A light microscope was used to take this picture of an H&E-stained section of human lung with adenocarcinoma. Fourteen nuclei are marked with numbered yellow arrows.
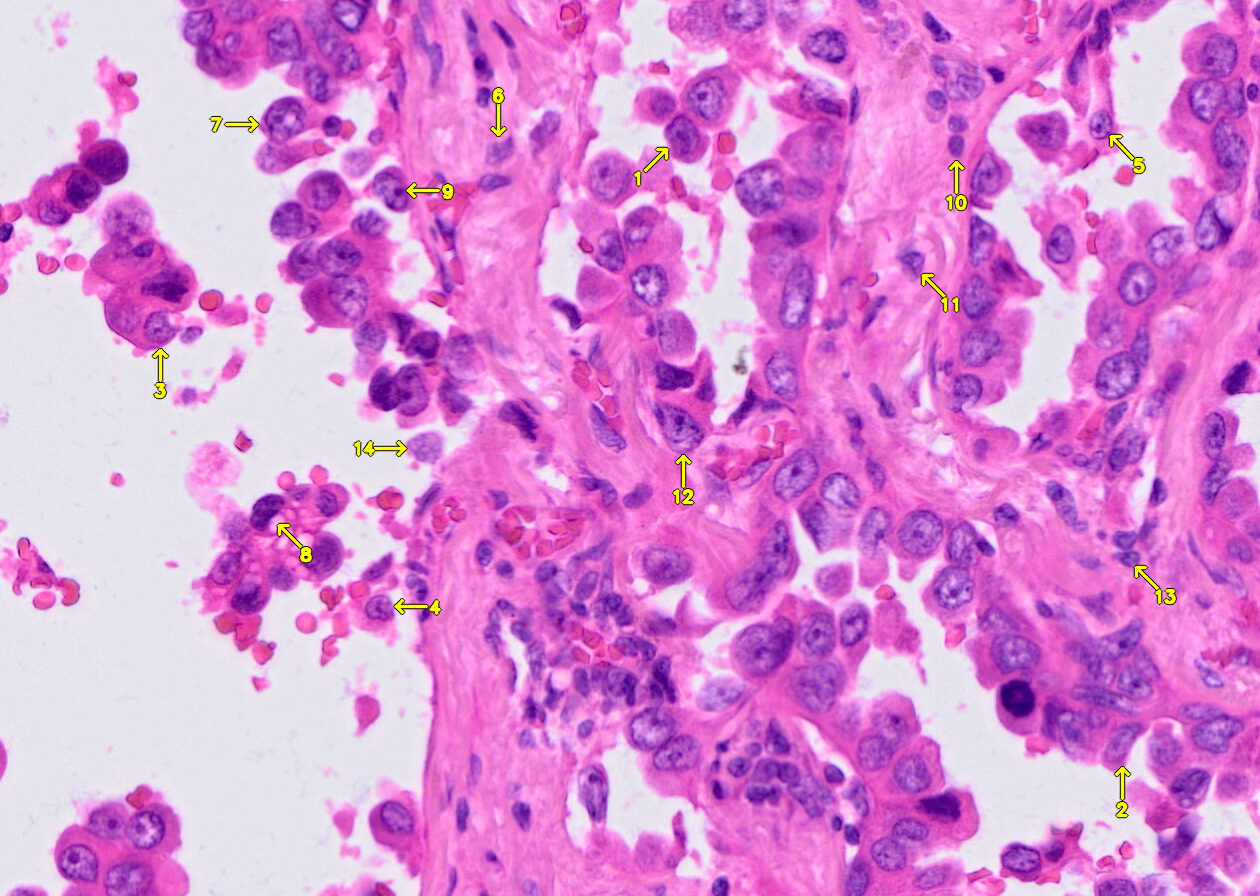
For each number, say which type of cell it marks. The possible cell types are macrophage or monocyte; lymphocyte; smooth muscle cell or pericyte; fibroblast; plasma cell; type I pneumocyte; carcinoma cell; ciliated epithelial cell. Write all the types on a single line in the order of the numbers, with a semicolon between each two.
carcinoma cell; carcinoma cell; carcinoma cell; macrophage or monocyte; macrophage or monocyte; fibroblast; carcinoma cell; carcinoma cell; carcinoma cell; lymphocyte; fibroblast; carcinoma cell; lymphocyte; carcinoma cell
